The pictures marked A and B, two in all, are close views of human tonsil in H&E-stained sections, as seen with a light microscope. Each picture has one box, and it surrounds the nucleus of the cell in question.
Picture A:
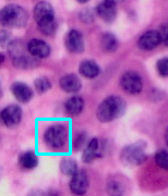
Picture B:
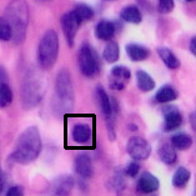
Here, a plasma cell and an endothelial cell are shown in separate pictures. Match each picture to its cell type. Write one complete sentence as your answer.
Picture A is of a plasma cell, and picture B is of an endothelial cell.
